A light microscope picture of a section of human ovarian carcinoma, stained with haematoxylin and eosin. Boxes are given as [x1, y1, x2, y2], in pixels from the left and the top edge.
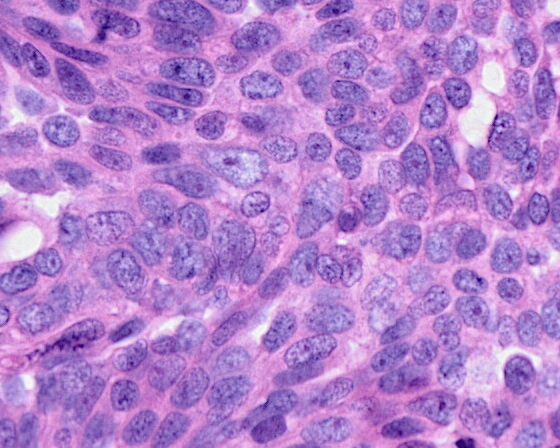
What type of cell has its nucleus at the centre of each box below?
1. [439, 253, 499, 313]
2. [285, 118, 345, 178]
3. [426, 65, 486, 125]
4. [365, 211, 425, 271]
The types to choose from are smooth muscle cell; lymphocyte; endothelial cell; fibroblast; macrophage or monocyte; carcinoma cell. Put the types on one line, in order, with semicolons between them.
macrophage or monocyte; carcinoma cell; carcinoma cell; carcinoma cell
